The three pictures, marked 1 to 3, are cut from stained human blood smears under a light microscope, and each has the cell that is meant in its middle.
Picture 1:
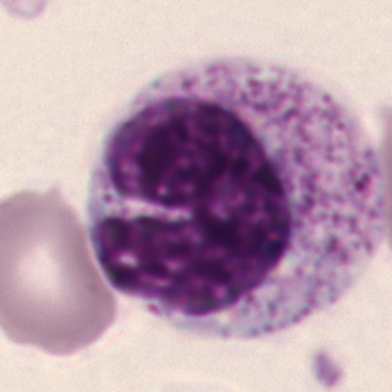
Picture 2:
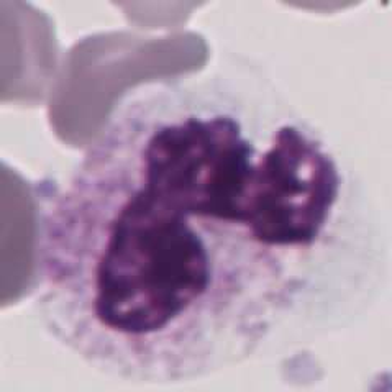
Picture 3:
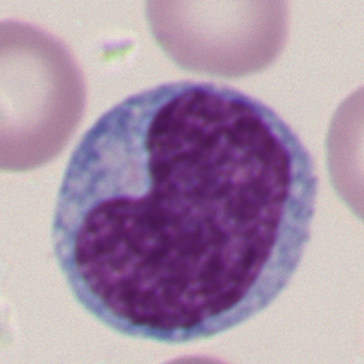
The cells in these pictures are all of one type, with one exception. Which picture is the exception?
3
